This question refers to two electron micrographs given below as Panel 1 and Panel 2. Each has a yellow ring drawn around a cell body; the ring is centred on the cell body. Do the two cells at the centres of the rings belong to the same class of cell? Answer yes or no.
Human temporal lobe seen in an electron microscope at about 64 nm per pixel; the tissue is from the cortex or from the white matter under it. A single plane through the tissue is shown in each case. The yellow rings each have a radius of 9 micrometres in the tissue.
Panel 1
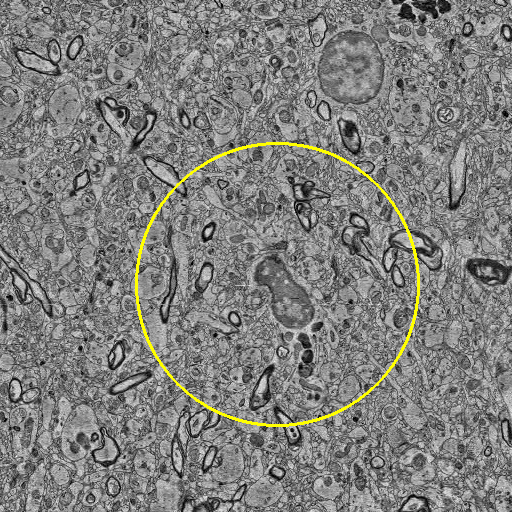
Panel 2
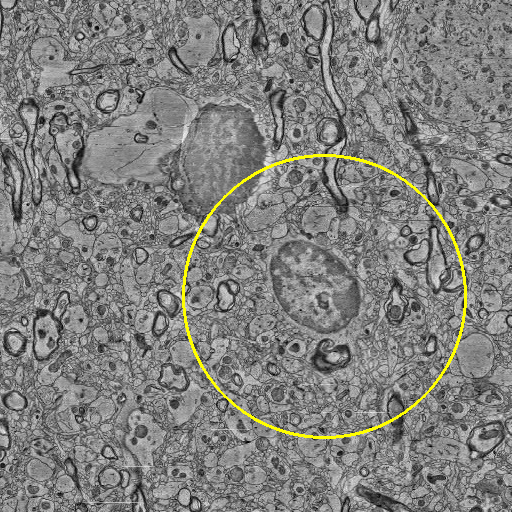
no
